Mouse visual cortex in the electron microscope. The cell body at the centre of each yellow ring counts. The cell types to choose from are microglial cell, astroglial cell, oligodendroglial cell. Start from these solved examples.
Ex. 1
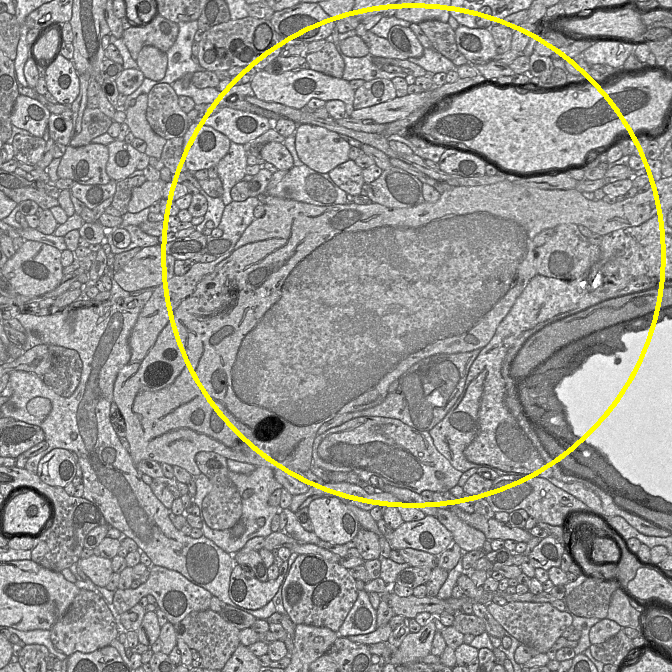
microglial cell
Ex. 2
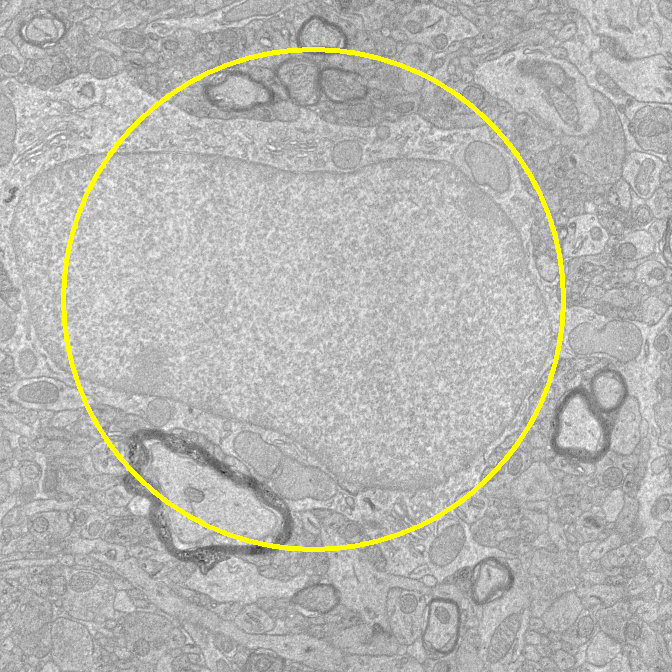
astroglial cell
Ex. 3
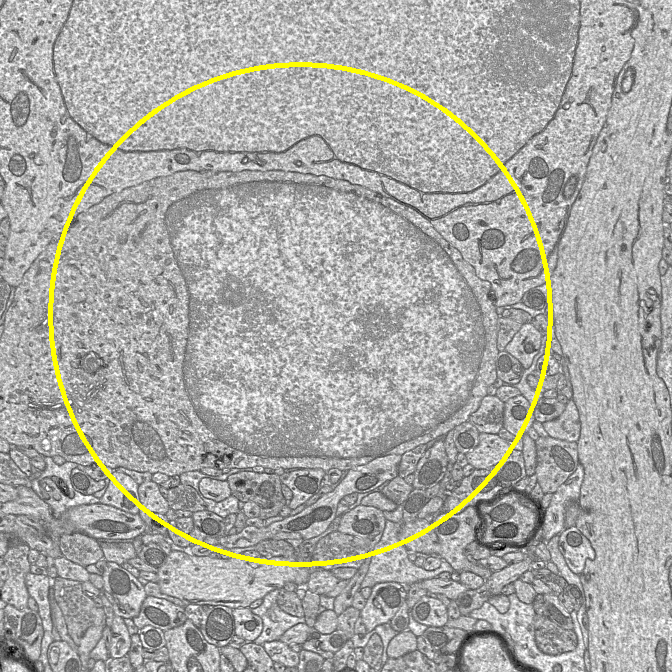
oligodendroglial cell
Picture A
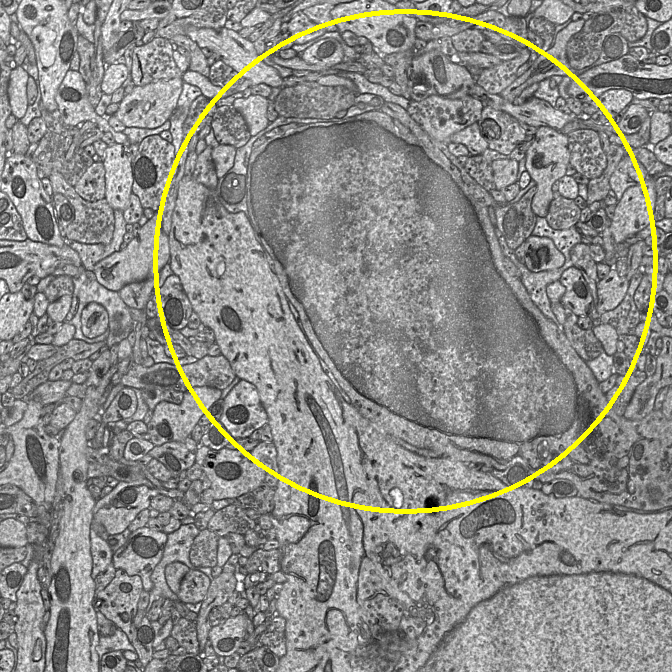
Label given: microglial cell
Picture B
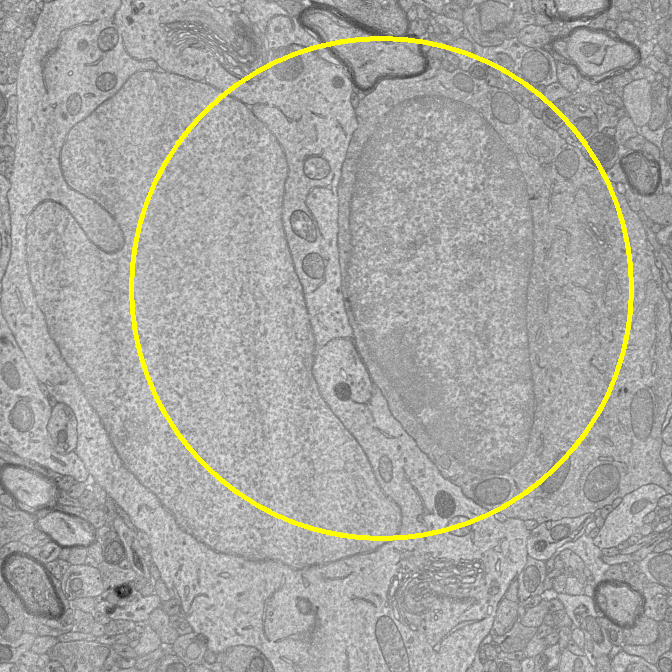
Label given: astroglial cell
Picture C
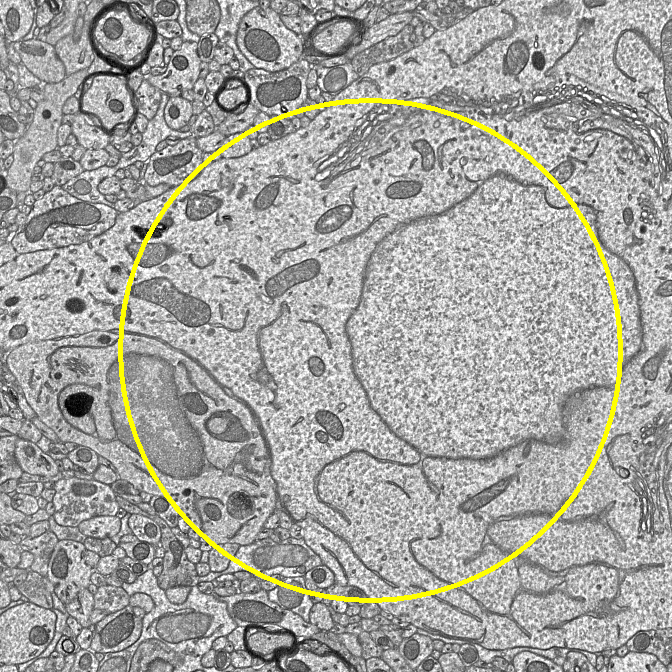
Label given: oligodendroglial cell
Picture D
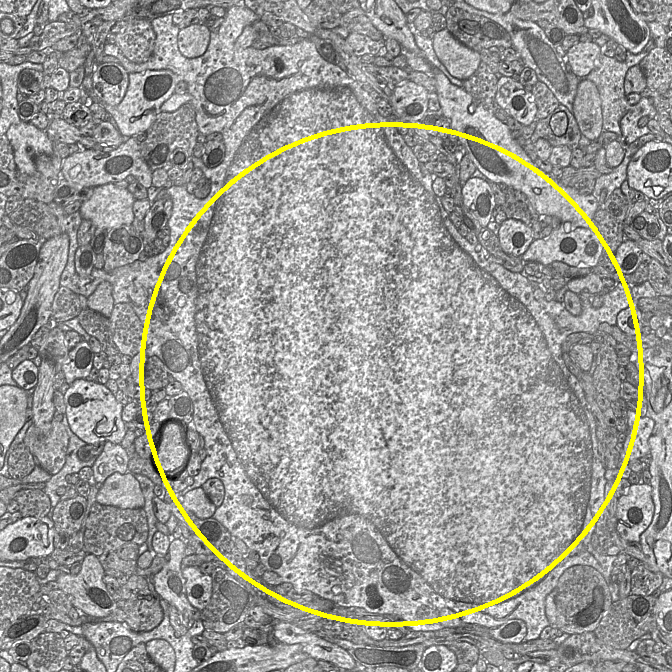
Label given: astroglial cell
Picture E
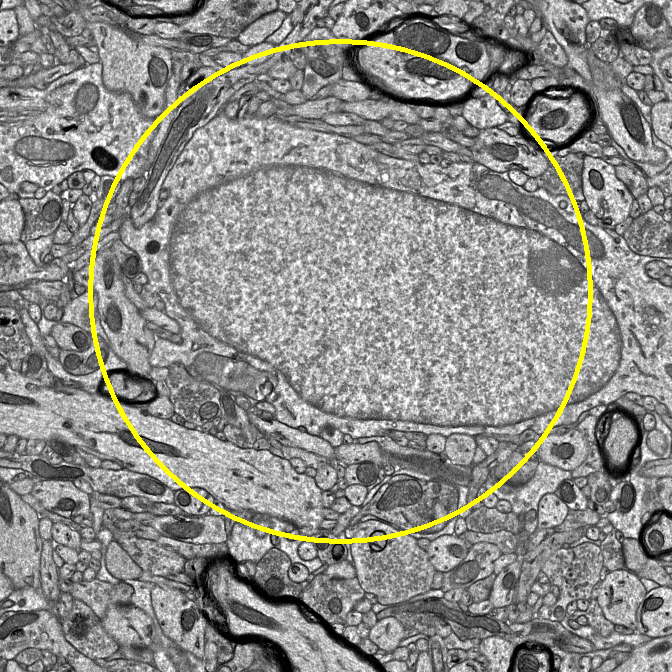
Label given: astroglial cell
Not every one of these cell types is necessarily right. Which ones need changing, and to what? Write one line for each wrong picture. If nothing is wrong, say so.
Wrong: B (astroglial cell); correct: oligodendroglial cell
Wrong: C (oligodendroglial cell); correct: microglial cell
